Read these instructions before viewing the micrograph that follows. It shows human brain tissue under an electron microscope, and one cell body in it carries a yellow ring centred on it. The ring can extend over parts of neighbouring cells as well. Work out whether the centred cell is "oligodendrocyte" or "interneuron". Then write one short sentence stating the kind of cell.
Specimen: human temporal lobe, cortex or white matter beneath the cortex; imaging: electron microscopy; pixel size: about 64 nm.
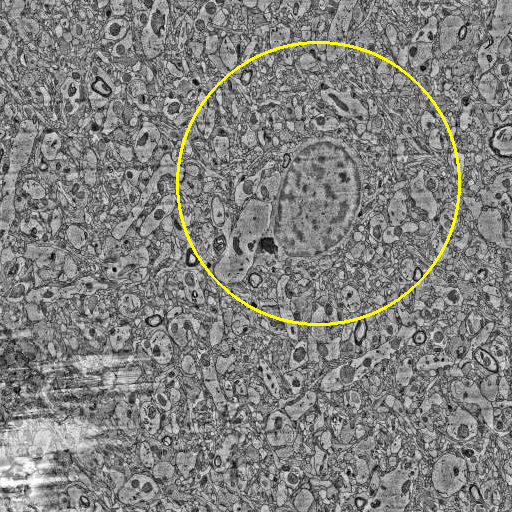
The ringed cell is an oligodendrocyte.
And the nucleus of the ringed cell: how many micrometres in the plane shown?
The nucleus has a long axis of about 7 micrometres and a short axis of about 6 micrometres in this plane.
